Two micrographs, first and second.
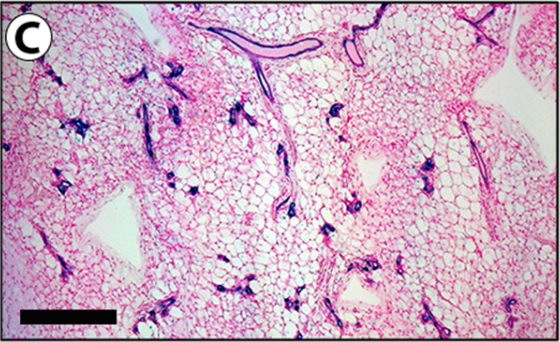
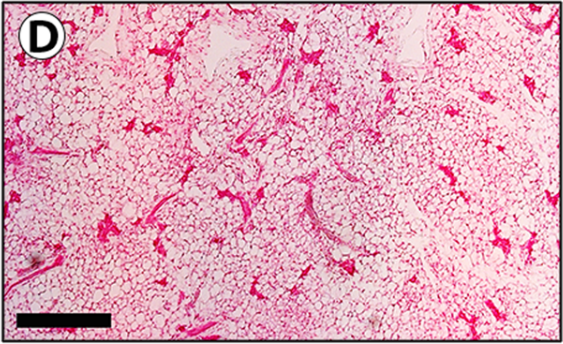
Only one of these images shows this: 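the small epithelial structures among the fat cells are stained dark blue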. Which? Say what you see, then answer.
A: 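The first image. Second image: the scattered epithelial structures are stained only pink, with no blue. First image: many of the scattered epithelial structures are stained dark blue.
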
